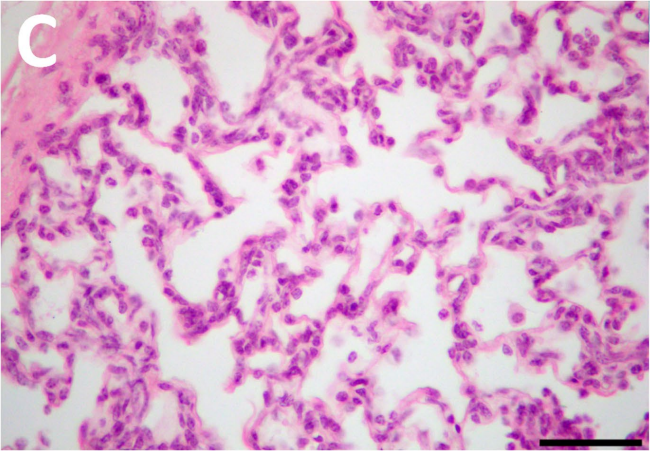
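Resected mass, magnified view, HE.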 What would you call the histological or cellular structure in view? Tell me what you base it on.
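Alveolus-like structures. Many open, irregular airspaces.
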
